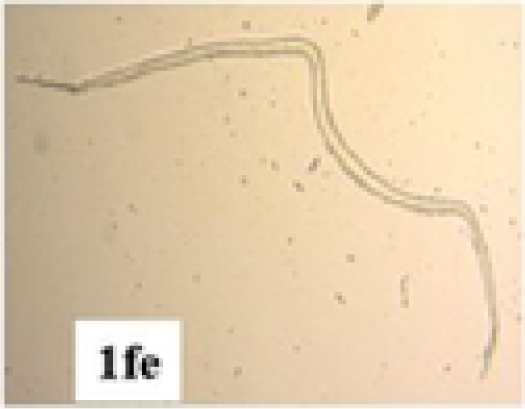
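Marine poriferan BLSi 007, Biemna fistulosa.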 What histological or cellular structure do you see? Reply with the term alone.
Spongin fiber.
